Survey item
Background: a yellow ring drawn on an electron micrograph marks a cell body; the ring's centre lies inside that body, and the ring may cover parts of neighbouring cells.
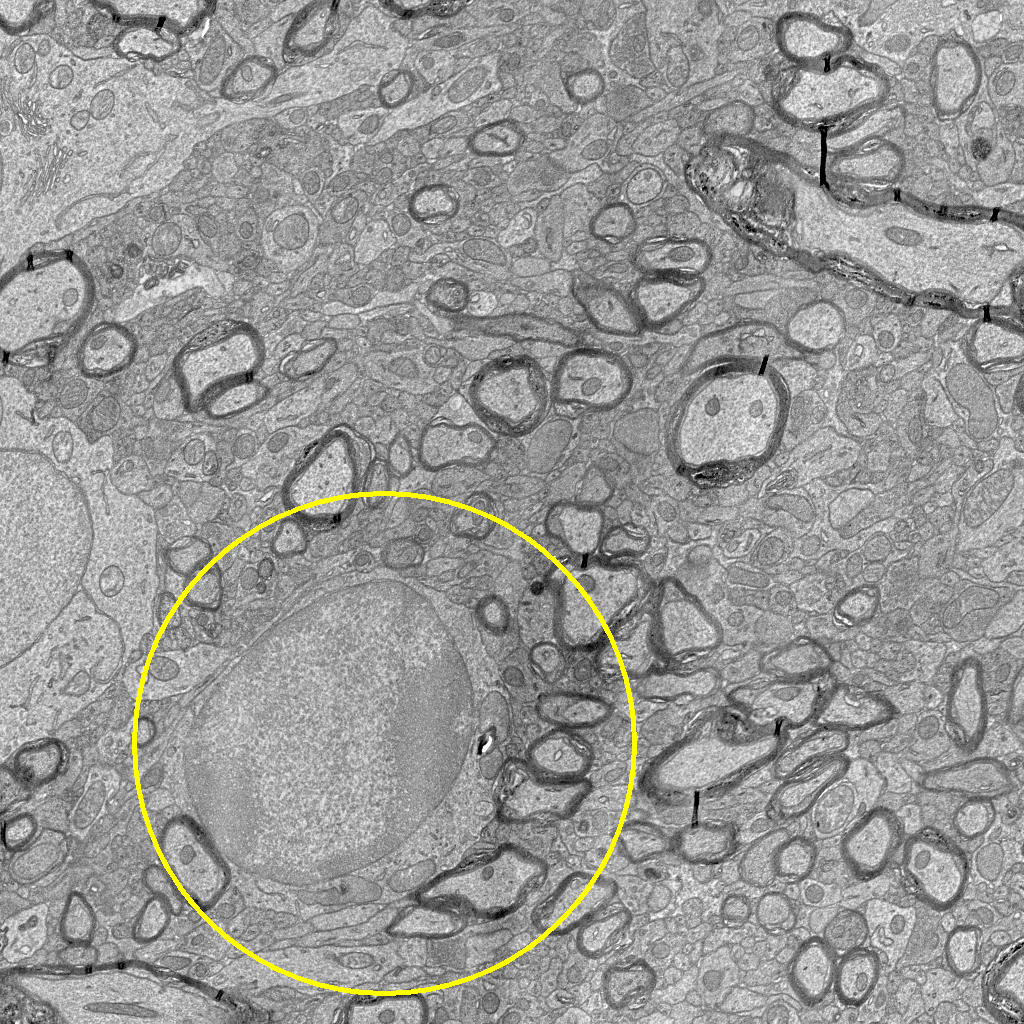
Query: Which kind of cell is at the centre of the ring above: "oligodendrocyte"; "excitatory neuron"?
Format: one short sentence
The cell in the middle of the ring is an oligodendrocyte.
